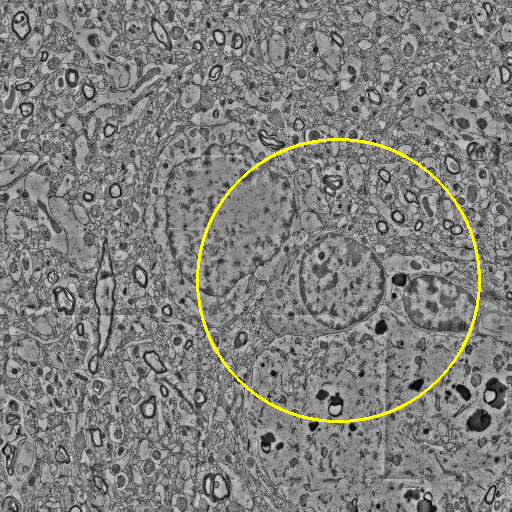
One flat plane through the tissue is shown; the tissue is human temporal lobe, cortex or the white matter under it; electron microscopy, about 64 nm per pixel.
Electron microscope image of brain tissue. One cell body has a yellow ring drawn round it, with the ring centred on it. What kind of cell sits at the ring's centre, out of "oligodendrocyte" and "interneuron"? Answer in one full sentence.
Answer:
It is an oligodendrocyte whose cell body sits at the centre of the yellow ring.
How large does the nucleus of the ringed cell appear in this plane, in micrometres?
Roughly 6 micrometers across, in this plane.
